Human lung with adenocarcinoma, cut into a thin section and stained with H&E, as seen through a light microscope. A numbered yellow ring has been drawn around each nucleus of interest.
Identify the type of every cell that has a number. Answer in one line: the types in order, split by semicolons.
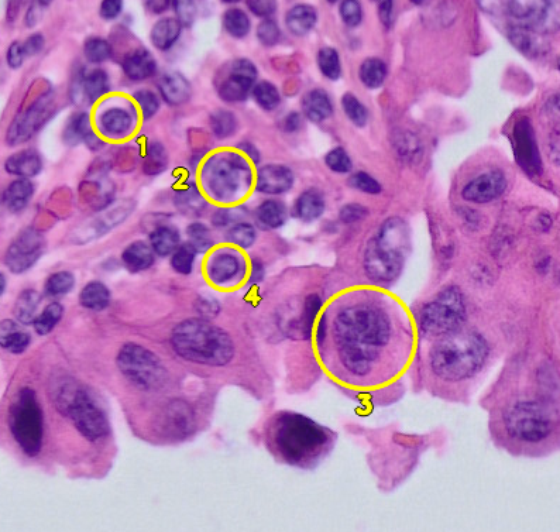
lymphocyte; lymphocyte; carcinoma cell; lymphocyte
